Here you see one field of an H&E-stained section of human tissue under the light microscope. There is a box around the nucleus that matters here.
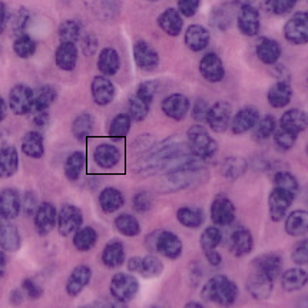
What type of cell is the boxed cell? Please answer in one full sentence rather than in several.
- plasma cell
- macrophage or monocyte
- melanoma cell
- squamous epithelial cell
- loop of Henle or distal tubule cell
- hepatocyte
In the tissue at hand, the boxed cell is a plasma cell.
